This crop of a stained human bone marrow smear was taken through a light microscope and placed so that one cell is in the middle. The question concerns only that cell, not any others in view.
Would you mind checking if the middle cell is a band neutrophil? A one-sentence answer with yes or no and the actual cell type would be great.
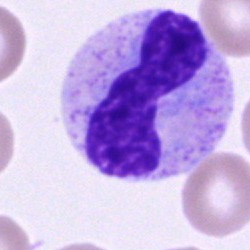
Yes, the cell sitting in the center is a band neutrophil.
